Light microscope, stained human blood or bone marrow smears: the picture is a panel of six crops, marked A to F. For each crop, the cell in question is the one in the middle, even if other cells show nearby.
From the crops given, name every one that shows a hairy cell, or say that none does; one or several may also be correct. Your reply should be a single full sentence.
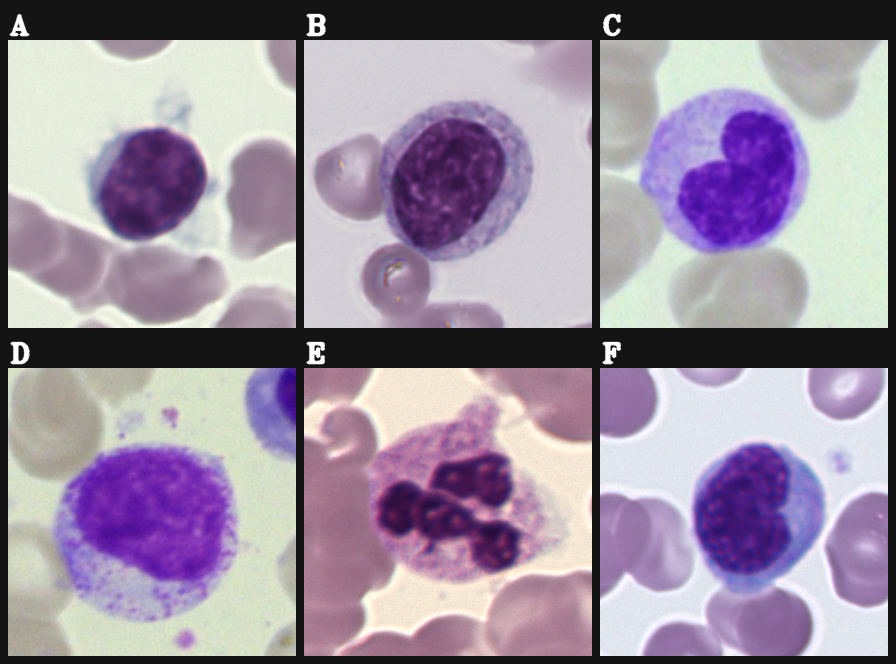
Crop A stands alone as the crop containing a hairy cell.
